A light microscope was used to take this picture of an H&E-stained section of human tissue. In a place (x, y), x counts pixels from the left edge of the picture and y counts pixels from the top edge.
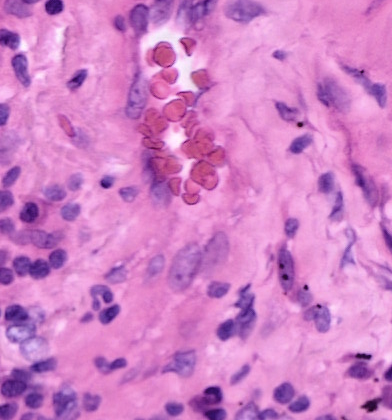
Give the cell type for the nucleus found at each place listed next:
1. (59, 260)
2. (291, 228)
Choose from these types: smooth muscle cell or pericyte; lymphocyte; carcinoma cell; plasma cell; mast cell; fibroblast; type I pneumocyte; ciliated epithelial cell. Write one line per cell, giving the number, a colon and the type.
1: lymphocyte
2: mast cell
